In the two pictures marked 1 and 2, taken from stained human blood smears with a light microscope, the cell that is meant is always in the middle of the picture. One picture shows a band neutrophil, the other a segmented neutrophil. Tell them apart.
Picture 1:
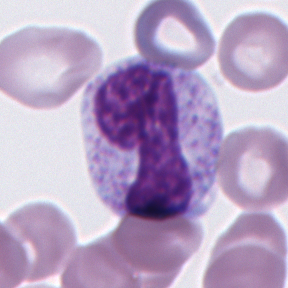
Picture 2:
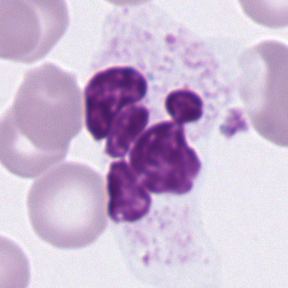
1: band neutrophil
2: segmented neutrophil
